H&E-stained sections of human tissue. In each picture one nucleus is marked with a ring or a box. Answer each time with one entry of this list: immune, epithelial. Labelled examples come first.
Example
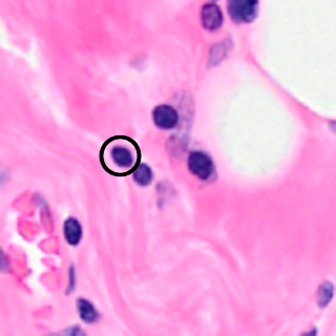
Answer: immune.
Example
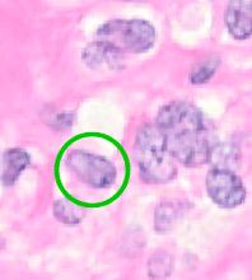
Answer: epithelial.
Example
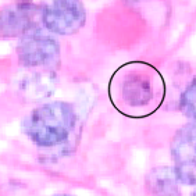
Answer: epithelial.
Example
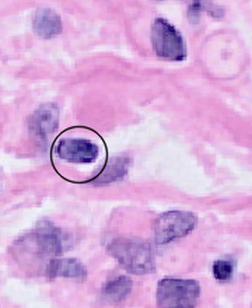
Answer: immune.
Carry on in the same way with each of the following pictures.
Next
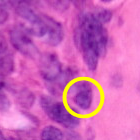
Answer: epithelial.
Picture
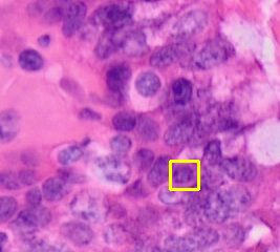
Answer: epithelial.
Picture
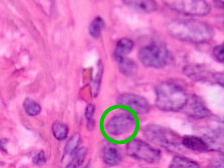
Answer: epithelial.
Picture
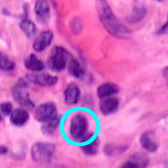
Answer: immune.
